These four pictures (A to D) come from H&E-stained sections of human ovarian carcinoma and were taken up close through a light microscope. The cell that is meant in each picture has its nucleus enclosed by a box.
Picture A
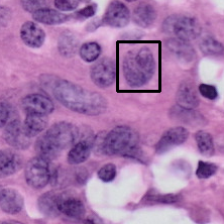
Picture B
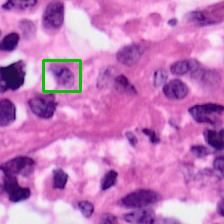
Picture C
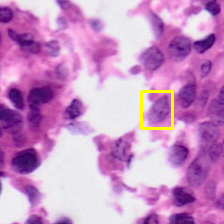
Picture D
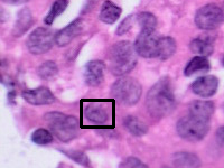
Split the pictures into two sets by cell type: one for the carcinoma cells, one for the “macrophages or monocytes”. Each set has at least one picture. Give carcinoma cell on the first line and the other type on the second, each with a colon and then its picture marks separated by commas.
carcinoma cell: A, C, D
macrophage or monocyte: B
